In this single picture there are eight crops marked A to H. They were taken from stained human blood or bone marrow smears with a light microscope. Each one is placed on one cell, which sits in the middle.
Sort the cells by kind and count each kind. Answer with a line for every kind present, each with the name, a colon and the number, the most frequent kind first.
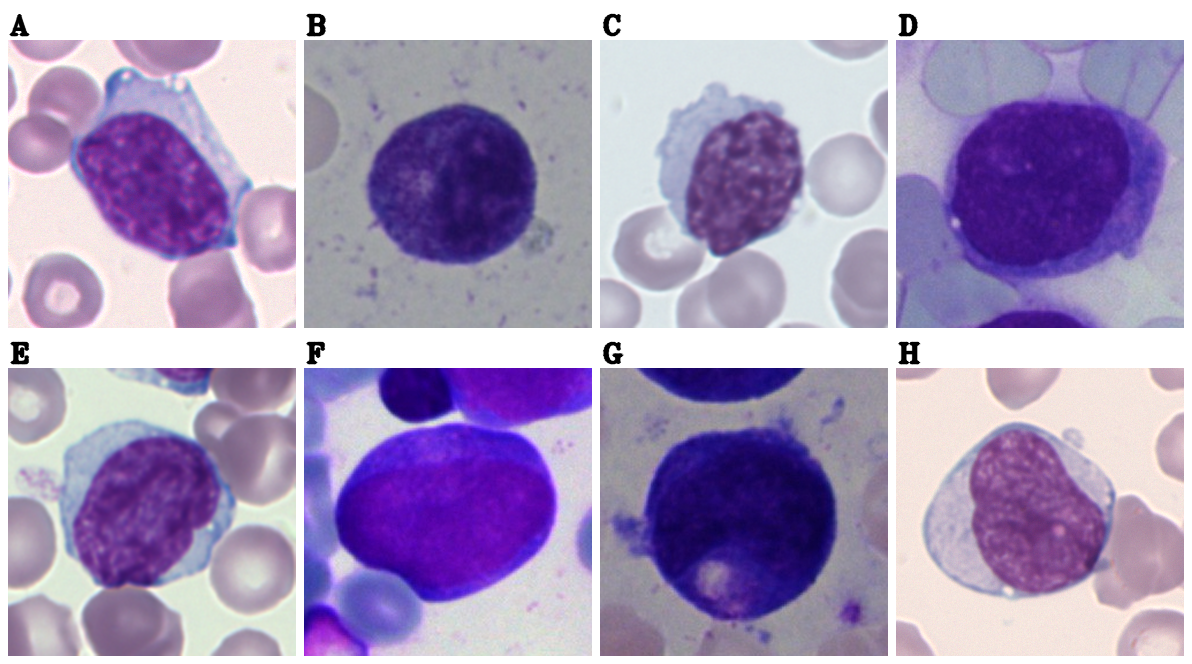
blast: 7
promyelocyte: 1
